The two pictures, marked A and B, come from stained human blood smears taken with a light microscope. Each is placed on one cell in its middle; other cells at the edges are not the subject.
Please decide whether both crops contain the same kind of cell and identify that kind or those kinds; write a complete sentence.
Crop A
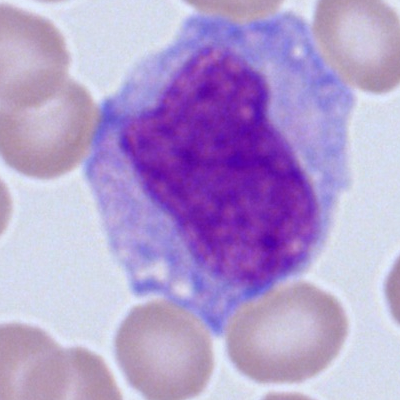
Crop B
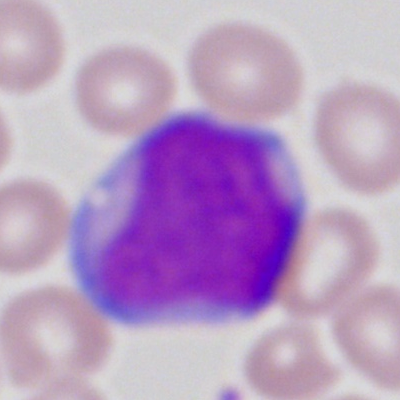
No, a myeloblast is the cell in crop B, and crop A contains a monocyte.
